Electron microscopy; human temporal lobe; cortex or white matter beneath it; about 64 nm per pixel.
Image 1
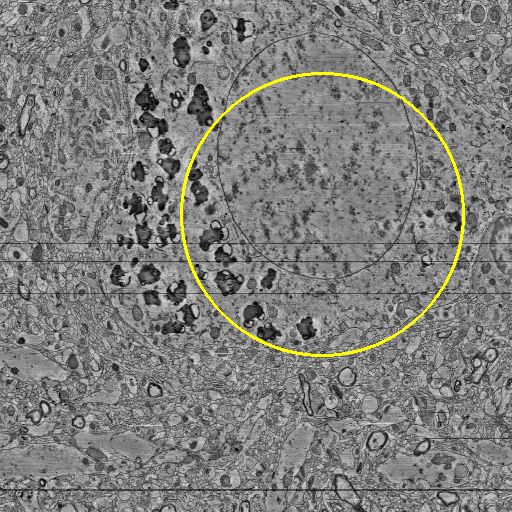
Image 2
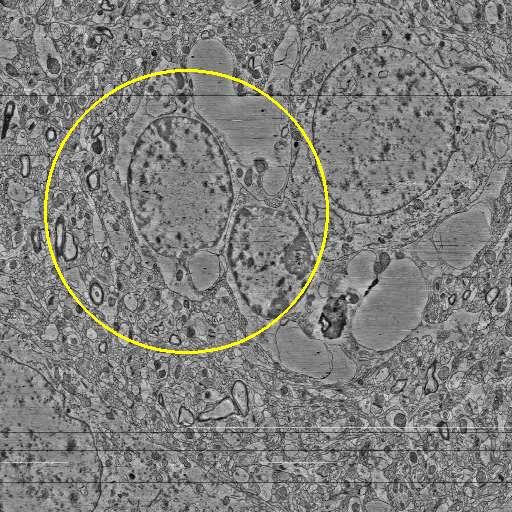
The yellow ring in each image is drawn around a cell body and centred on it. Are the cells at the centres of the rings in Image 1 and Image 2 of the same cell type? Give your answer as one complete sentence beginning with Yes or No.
No, the two cells are of two separate types.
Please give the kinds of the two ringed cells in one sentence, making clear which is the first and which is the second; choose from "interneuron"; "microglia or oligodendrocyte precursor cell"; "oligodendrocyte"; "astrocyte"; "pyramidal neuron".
In the second picture the ringed cell is an astrocyte; in the first it is a pyramidal neuron.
